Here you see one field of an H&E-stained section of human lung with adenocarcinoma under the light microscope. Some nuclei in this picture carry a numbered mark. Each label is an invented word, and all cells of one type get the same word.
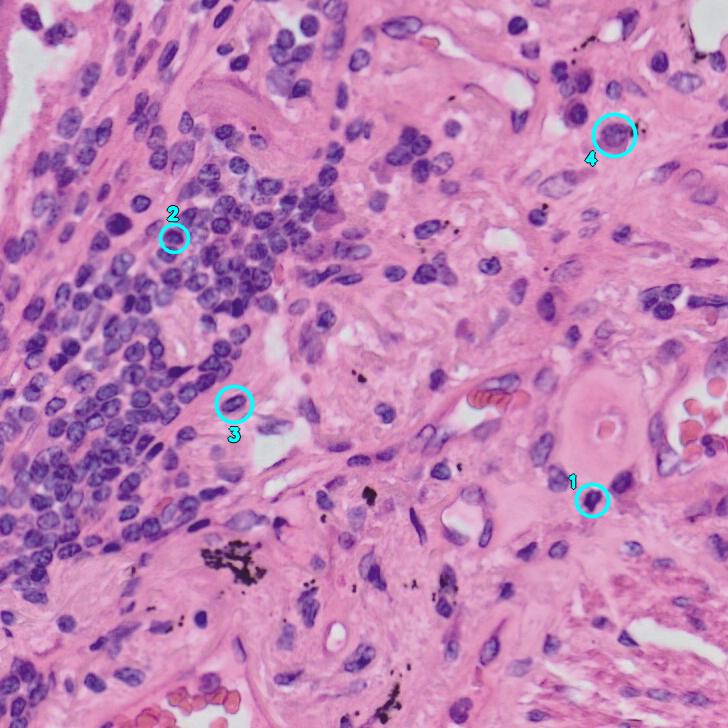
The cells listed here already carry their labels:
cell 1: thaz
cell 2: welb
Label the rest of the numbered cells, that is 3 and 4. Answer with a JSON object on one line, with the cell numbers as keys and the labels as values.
{"3": "welb", "4": "thaz"}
